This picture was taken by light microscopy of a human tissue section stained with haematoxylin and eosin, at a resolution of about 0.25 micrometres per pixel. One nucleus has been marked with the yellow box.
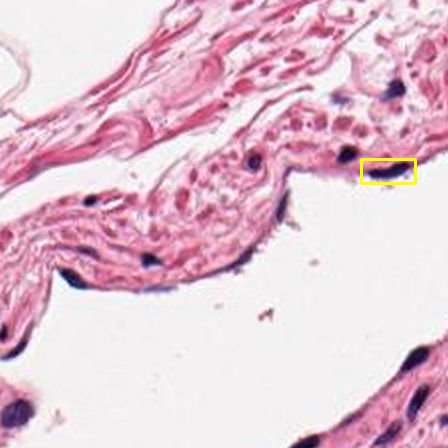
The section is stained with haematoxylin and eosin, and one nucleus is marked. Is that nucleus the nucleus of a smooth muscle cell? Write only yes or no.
no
